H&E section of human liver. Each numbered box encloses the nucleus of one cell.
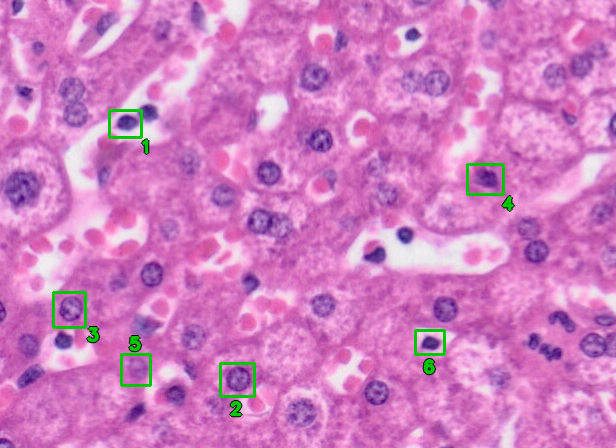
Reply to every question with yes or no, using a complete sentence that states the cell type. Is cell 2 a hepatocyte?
Yes, the cell carrying label 2 is a hepatocyte.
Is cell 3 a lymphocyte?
No, cell 3 is a hepatocyte; it is not a lymphocyte.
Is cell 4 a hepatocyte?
No, cell 4 is not a hepatocyte: it is a fibroblast or stellate cell.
